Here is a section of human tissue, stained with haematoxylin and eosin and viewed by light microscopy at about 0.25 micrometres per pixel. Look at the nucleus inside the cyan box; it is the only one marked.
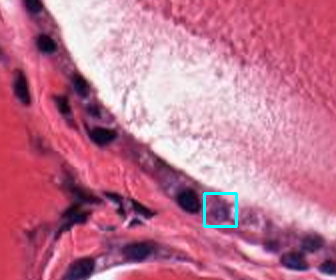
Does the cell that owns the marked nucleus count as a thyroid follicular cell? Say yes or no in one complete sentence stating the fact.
Yes, the marked nucleus belongs to a thyroid follicular cell in this image.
